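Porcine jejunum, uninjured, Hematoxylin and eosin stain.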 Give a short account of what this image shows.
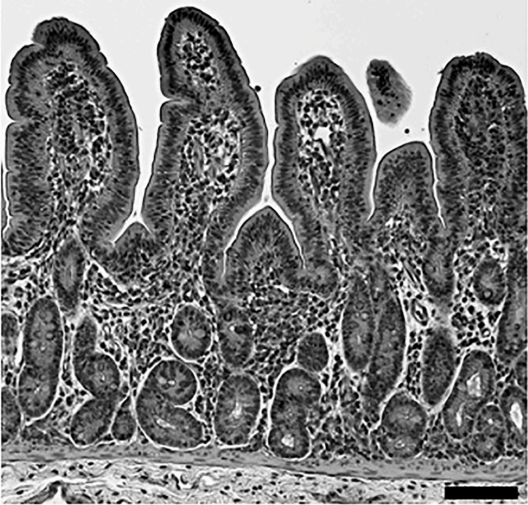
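Tall, finger-like villi rise from the mucosa, each covered by a continuous single layer of columnar epithelium with closely packed nuclei along its base, around a core of loose connective tissue with scattered cells. Below them, rounded crypts lined by epithelium sit in a cellular lamina propria, resting on a thin band of muscle above looser submucosa.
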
